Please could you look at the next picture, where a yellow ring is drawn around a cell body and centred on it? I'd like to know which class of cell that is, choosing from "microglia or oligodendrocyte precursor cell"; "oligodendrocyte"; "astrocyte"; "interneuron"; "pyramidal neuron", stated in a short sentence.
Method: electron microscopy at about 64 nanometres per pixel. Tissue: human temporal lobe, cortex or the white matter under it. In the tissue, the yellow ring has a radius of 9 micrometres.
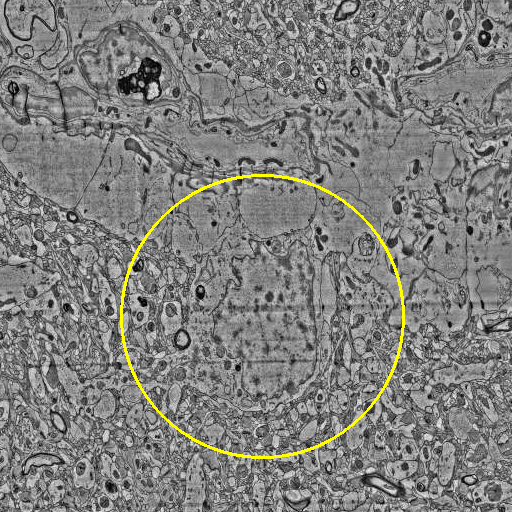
The ring's centre lies on an interneuron.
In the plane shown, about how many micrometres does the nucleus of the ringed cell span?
In this plane the nucleus measures roughly 9 by 7 micrometers.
